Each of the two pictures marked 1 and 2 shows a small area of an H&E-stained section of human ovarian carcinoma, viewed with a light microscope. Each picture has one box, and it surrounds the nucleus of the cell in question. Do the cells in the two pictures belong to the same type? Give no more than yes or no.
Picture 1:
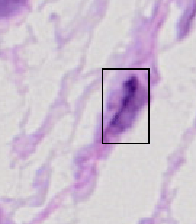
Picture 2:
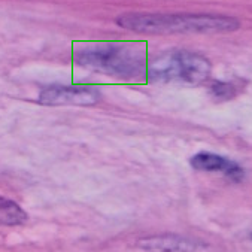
yes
